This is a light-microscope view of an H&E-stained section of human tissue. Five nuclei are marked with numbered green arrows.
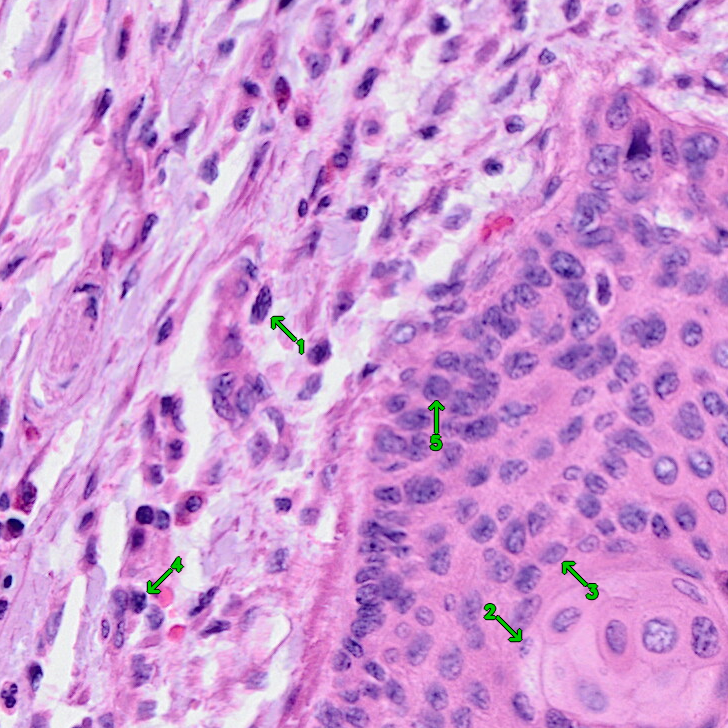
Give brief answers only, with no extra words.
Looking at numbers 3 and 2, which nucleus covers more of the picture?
3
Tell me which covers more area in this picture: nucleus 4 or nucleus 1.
1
